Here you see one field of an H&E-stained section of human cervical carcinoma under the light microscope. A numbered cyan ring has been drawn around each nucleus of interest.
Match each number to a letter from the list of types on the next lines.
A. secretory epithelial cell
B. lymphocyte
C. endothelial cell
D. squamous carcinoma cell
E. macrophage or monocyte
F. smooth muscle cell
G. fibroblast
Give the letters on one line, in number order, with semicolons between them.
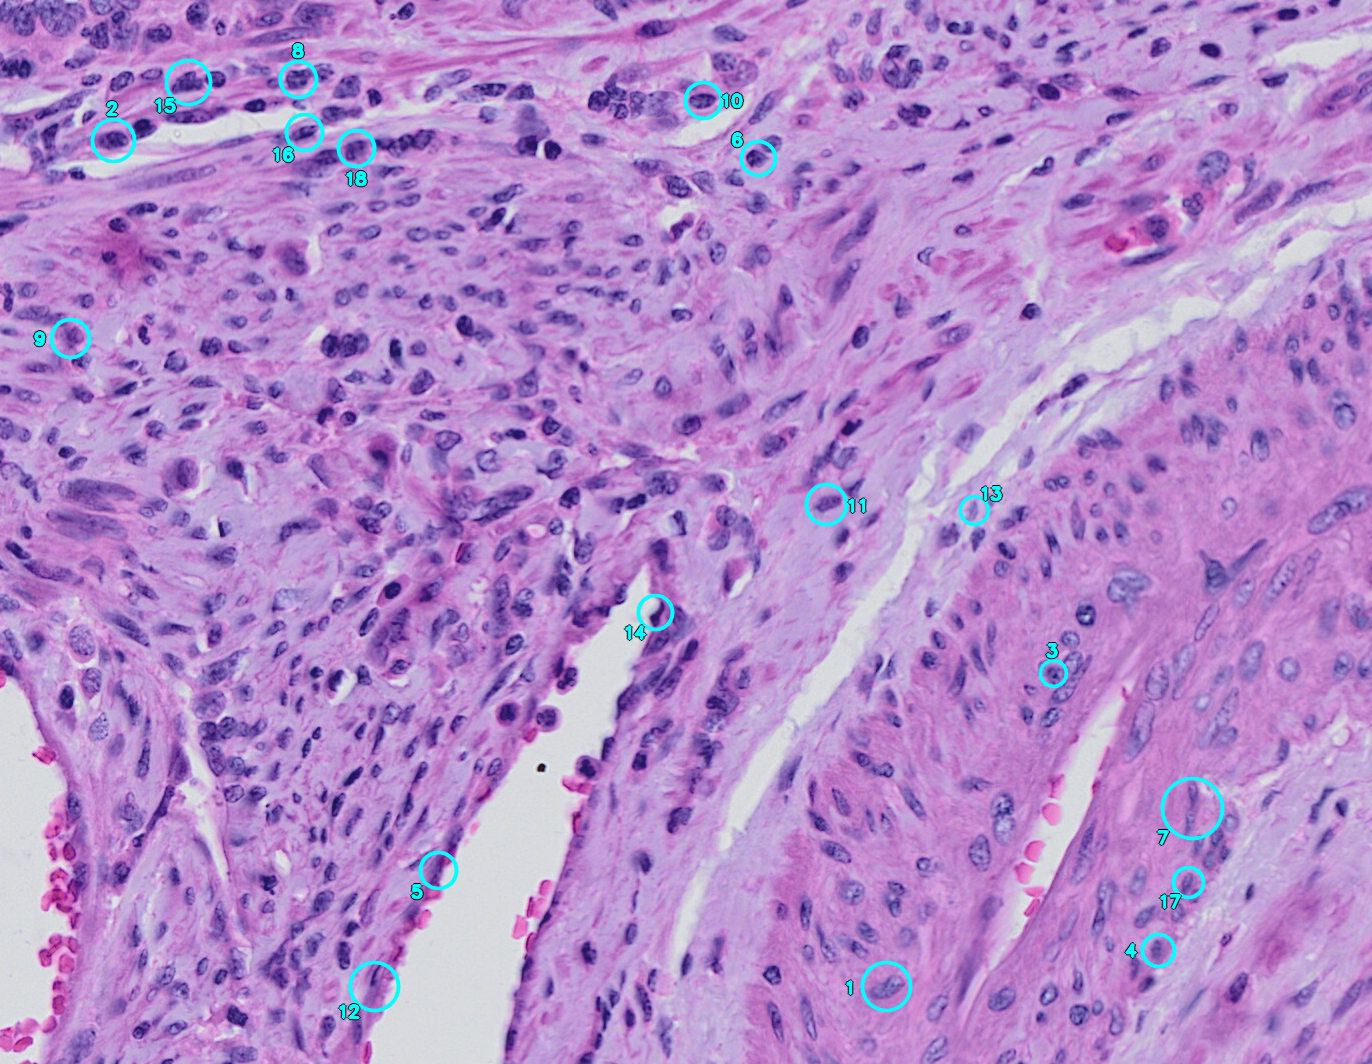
F; B; F; F; C; B; F; B; E; B; G; C; G; C; B; B; F; B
